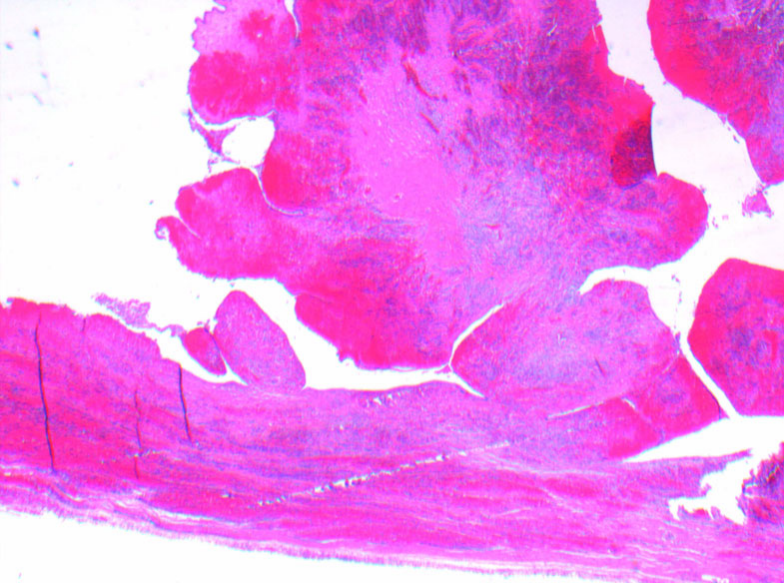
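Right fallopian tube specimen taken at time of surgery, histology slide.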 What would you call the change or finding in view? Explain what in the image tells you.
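Broad based papillary lesion. A mass of tissue rises from a flat band of wall tissue along the bottom of the panel. The mass is split into several broad, rounded, lobe-like projections separated by clear clefts. The projections have a pale pink fibrous core.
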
